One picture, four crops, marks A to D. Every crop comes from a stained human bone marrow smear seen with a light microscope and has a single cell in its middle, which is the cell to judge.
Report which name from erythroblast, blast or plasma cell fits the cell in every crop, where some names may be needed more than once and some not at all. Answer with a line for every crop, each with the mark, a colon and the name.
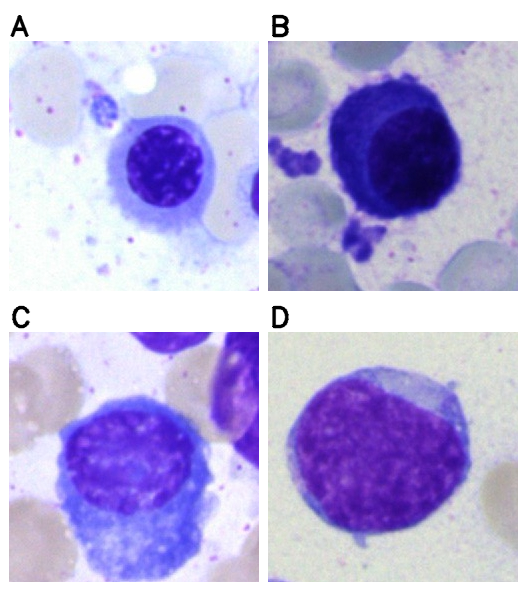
A: erythroblast
B: plasma cell
C: plasma cell
D: blast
